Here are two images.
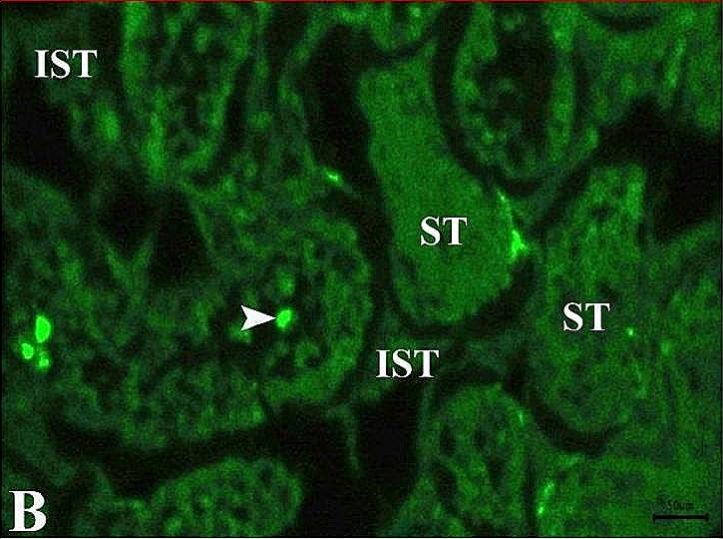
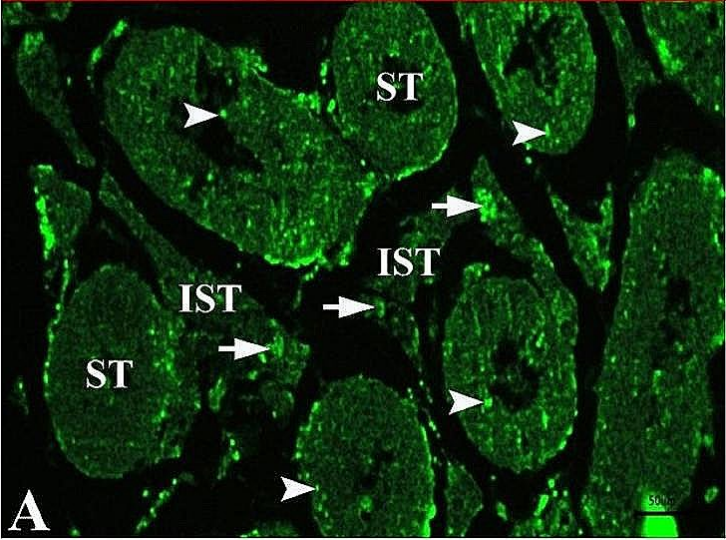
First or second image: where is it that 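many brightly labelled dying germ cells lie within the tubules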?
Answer: The second image.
